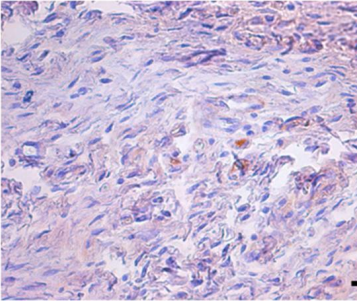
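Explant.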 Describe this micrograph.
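Most cells in the field are elongated, spindle-shaped cells with blue oval nuclei lying in a loose pinkish-purple matrix. The brown cells are few and lie singly or in small groups among these spindle cells.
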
